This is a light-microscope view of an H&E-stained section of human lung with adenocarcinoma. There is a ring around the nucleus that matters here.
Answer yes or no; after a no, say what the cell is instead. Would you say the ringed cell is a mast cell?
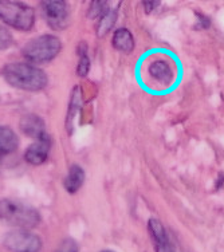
Yes.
